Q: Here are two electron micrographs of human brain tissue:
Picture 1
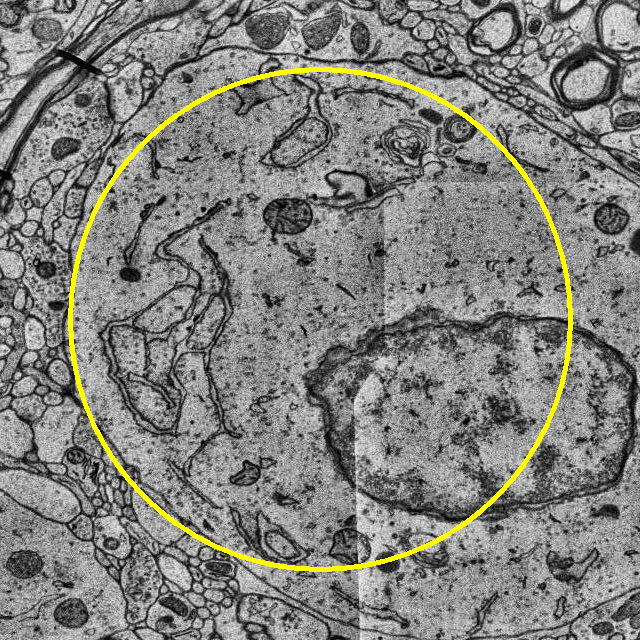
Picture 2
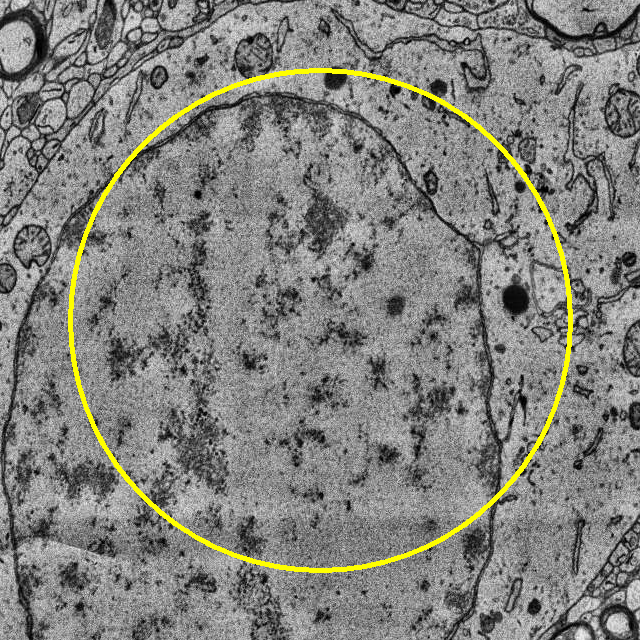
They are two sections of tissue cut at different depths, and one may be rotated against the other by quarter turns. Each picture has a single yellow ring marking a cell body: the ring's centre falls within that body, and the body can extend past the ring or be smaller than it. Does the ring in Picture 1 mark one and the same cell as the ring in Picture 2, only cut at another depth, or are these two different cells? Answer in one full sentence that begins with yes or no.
Yes, the two rings refer to one cell in the tissue.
